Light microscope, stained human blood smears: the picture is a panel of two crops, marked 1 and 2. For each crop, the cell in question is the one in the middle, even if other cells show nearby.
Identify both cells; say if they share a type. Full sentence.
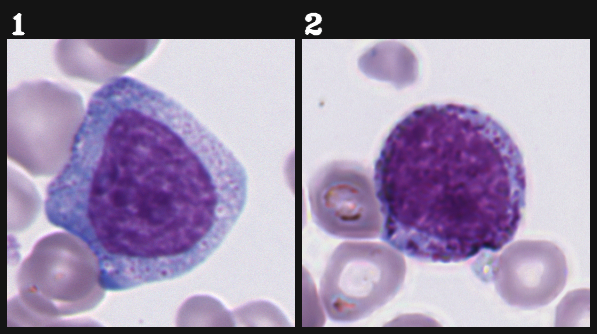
Yes, the middle cells in the two crops are promyelocytes.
